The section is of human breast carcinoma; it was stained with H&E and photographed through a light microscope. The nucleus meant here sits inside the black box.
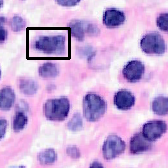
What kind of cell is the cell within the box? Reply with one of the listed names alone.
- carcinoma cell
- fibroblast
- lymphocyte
lymphocyte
